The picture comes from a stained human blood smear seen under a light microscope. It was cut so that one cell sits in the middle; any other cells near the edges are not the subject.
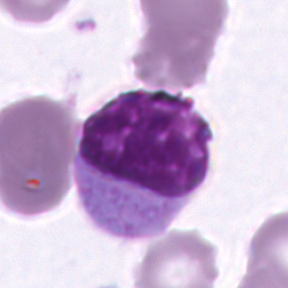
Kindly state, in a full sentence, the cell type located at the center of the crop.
Centrally within this crop lies a plasma cell.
